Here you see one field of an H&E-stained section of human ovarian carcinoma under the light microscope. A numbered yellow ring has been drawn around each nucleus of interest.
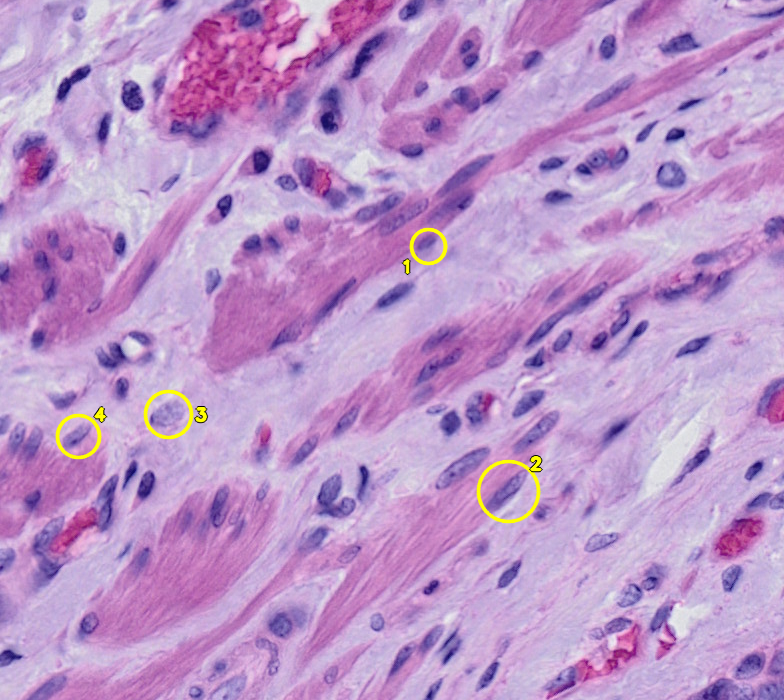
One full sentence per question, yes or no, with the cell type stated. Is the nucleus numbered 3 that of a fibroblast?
Yes, the cell to which number 3 refers is a fibroblast.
